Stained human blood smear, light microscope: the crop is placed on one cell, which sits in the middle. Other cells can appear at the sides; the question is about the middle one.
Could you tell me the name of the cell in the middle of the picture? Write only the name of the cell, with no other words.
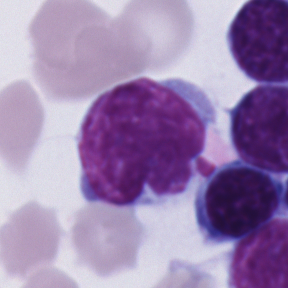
myeloblast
